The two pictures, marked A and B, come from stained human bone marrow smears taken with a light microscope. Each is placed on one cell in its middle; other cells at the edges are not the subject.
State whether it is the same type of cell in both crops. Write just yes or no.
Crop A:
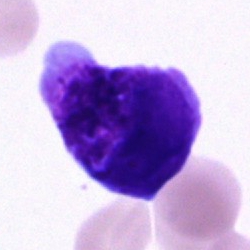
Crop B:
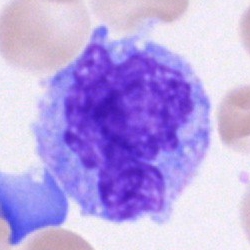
no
